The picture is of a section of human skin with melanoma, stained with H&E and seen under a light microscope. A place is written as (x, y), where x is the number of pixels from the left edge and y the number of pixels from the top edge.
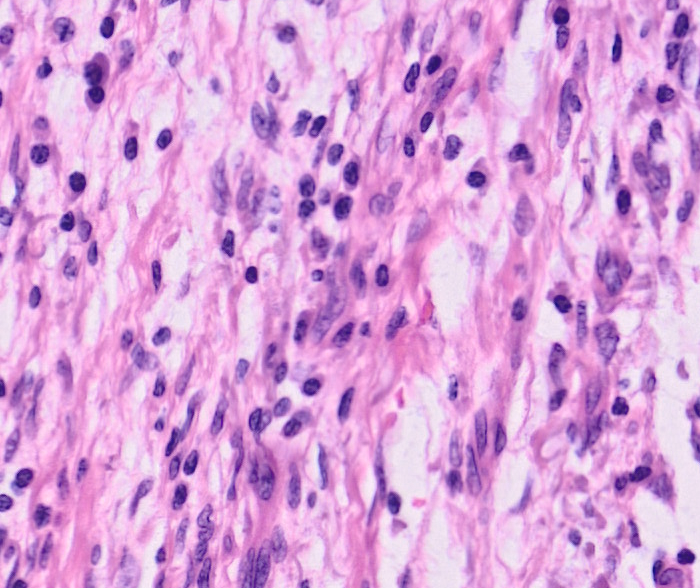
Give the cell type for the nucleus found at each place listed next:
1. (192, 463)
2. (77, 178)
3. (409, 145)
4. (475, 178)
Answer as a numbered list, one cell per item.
1. lymphocyte
2. plasma cell
3. plasma cell
4. plasma cell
